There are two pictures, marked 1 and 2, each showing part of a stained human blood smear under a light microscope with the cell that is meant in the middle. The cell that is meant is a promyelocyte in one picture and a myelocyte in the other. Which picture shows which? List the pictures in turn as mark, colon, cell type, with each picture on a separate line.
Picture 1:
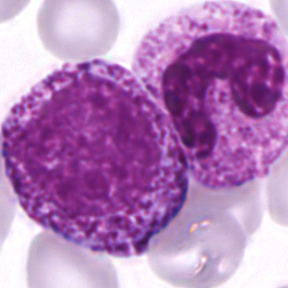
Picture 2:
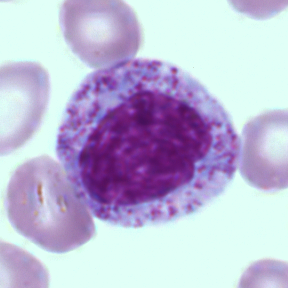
1: promyelocyte
2: myelocyte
